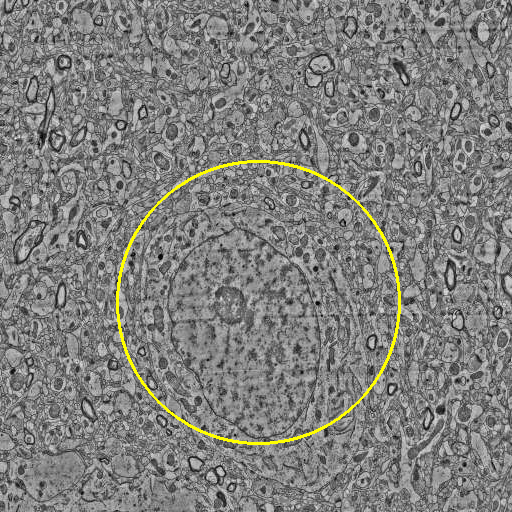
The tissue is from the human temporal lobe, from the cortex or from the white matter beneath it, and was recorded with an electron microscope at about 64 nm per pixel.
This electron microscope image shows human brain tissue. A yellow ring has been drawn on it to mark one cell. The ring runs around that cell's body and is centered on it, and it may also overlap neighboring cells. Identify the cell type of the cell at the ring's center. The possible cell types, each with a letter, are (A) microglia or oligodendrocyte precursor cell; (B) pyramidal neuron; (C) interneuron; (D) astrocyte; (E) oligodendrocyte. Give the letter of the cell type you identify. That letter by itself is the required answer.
C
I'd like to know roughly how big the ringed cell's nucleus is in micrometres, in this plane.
The nucleus comes to roughly 14 by 10 micrometres in this plane.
